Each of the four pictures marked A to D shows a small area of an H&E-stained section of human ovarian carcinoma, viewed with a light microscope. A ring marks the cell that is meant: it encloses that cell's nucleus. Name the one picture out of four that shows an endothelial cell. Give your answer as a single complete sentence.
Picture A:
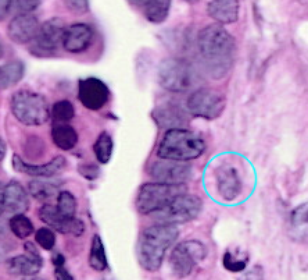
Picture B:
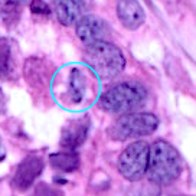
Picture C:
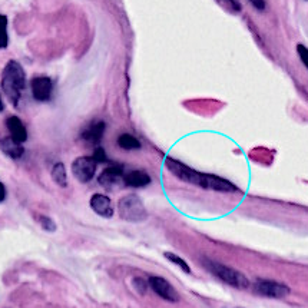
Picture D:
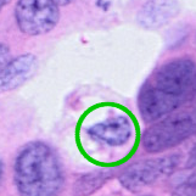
Picture C is the one that shows the endothelial cell.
